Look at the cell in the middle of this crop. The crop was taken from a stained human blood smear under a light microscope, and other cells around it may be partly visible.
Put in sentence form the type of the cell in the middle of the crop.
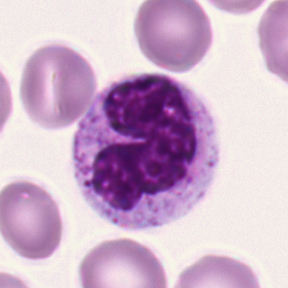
The cell around which this crop is centred is a band neutrophil.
